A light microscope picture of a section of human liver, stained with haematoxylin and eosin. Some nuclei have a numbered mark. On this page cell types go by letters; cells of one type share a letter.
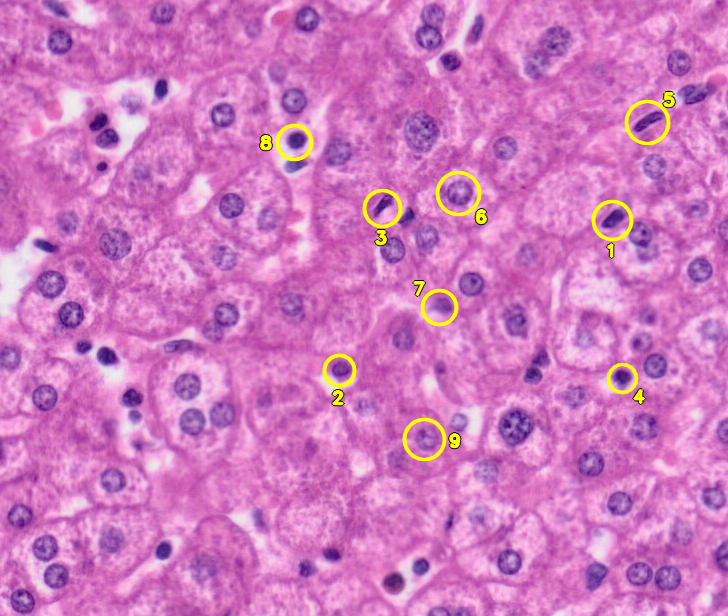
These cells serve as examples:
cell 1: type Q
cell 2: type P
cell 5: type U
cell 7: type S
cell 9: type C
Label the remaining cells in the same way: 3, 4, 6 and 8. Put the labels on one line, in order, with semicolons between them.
type S; type U; type C; type U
